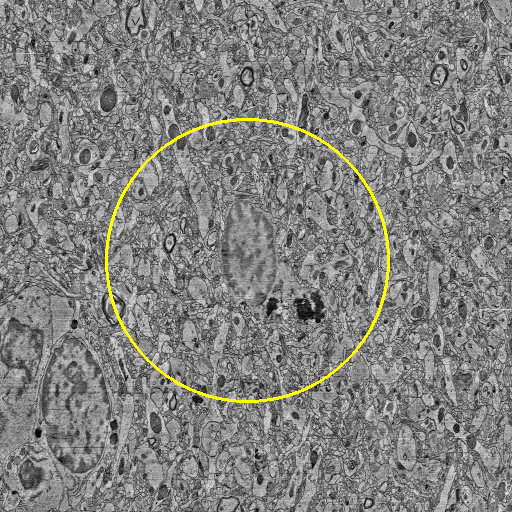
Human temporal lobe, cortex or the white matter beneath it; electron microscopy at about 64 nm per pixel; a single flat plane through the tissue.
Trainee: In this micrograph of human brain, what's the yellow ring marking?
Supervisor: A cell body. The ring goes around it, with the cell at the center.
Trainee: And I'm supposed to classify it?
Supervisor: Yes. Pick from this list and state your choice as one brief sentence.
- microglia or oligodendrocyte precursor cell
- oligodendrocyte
The cell at the ring's center is an oligodendrocyte.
